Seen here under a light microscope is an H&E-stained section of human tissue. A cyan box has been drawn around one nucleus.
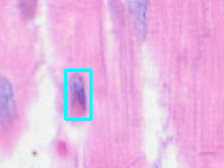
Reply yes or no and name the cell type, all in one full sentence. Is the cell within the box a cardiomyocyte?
No, as a cell type, the cell within the box is an endothelial cell rather than a cardiomyocyte.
